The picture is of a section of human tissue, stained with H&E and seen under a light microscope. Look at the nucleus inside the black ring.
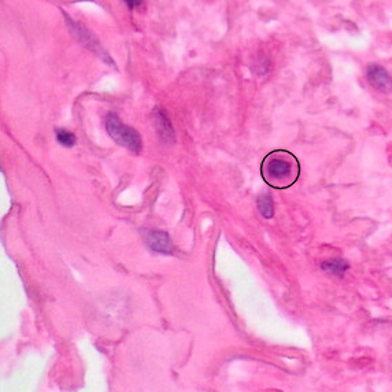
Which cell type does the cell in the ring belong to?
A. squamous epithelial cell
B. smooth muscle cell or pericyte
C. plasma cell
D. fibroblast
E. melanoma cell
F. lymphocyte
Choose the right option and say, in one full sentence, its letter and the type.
In this case the cell in the ring is a smooth muscle cell or pericyte, so option B is correct.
